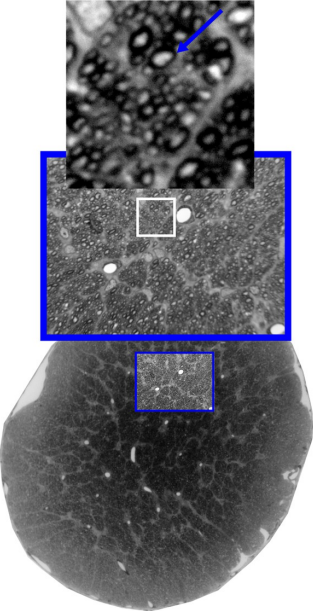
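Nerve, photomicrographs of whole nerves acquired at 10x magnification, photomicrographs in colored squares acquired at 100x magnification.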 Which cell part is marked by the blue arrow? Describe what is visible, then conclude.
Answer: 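The arrow points to a dark ring surrounding a bright round core. Many similar dark rings with bright centres are packed across the enlarged field. That points to this answer: myelin sheaths.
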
